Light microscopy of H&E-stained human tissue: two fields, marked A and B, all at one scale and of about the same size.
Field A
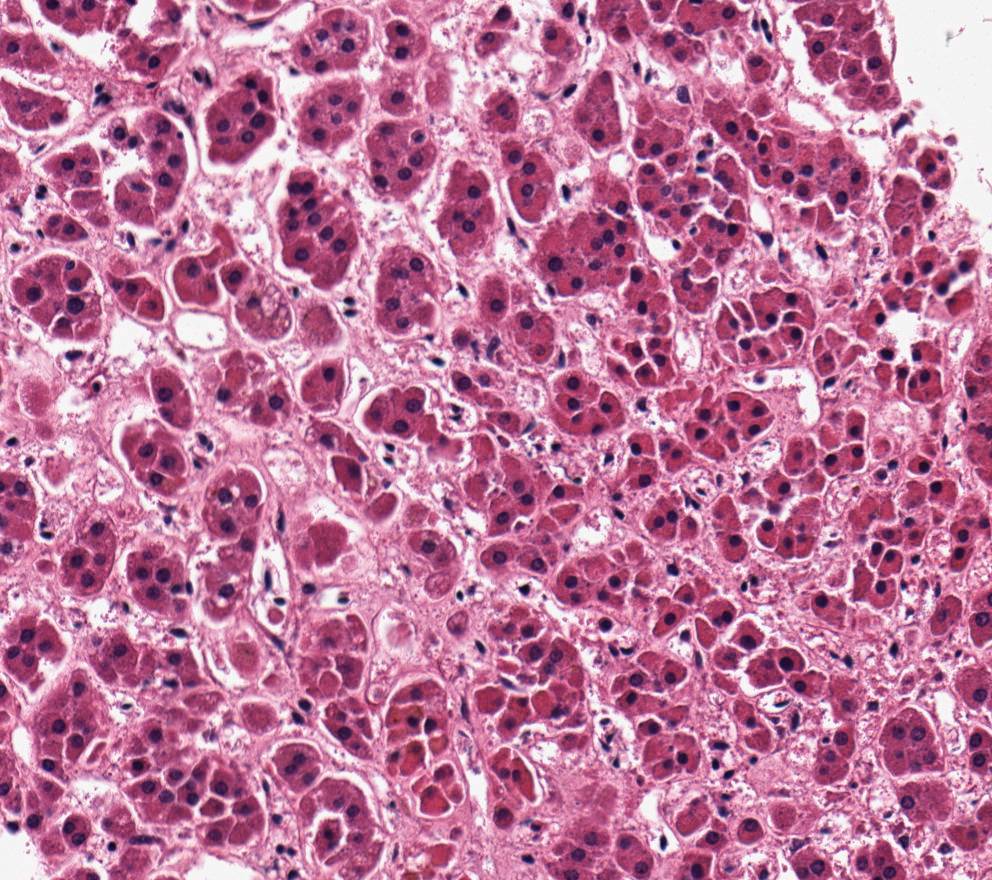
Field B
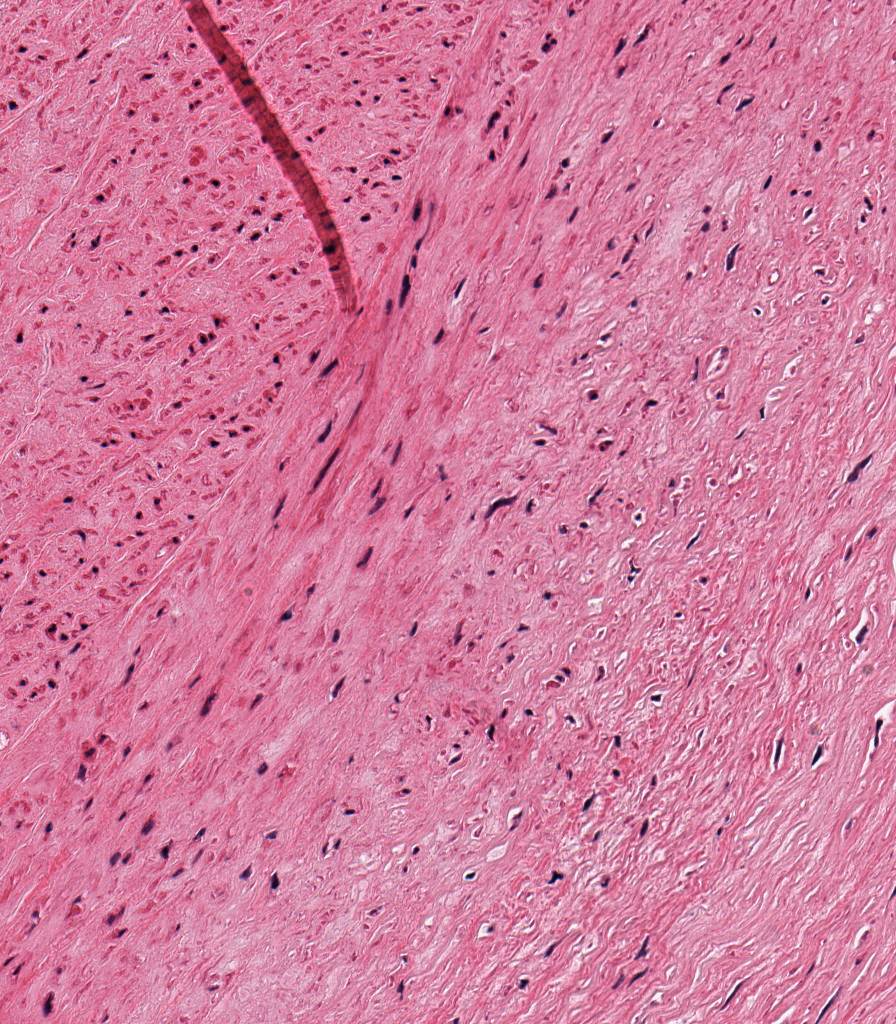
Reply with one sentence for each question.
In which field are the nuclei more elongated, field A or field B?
On the whole the nuclei of field B are more drawn out than those of field A.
